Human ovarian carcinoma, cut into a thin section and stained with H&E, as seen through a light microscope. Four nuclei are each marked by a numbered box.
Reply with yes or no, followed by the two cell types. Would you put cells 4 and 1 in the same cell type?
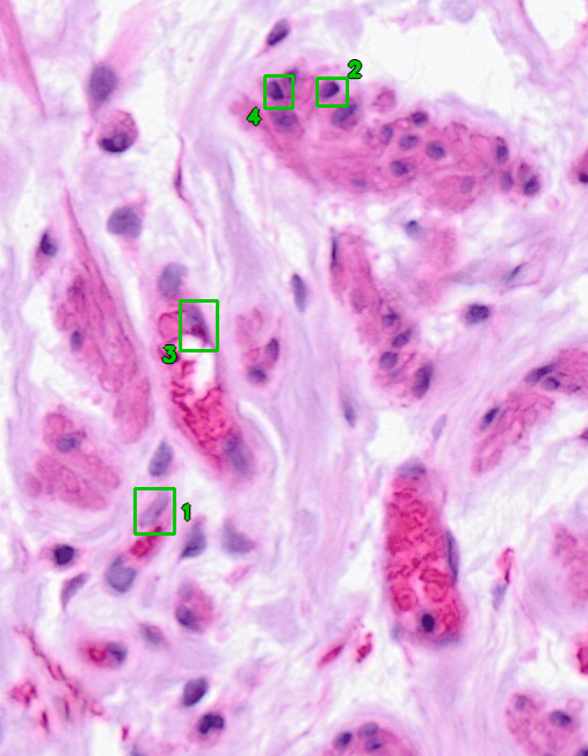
No, cell 4 is a smooth muscle cell; cell 1 is an endothelial cell.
